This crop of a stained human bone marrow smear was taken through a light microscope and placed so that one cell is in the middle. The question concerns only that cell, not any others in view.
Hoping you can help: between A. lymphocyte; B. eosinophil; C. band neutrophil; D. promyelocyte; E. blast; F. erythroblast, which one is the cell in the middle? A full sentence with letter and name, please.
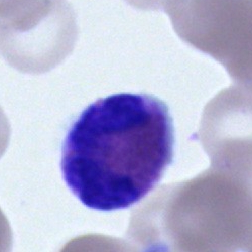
The centrally located cell is an eosinophil, making option B the correct choice.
